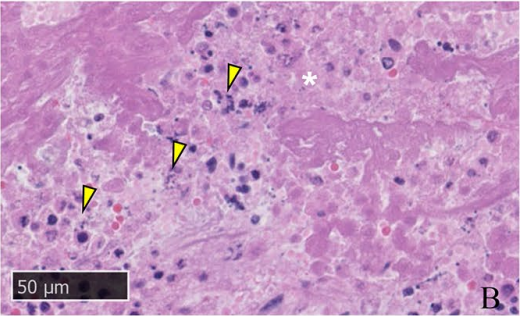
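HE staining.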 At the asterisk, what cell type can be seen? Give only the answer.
Ghost cells.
